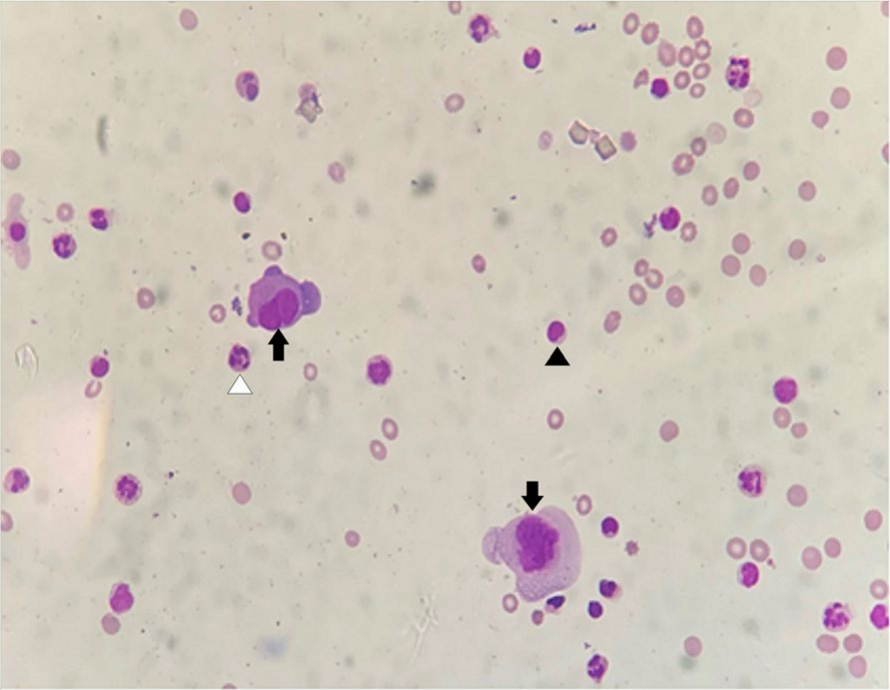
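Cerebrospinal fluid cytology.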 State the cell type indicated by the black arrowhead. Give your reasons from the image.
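Lymphocytes. The marked cell is small, only slightly larger than a red cell. It has a round, dense, dark purple nucleus that fills most of the cell, with scant cytoplasm.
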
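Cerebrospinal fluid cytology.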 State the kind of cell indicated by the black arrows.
Large atypical cells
